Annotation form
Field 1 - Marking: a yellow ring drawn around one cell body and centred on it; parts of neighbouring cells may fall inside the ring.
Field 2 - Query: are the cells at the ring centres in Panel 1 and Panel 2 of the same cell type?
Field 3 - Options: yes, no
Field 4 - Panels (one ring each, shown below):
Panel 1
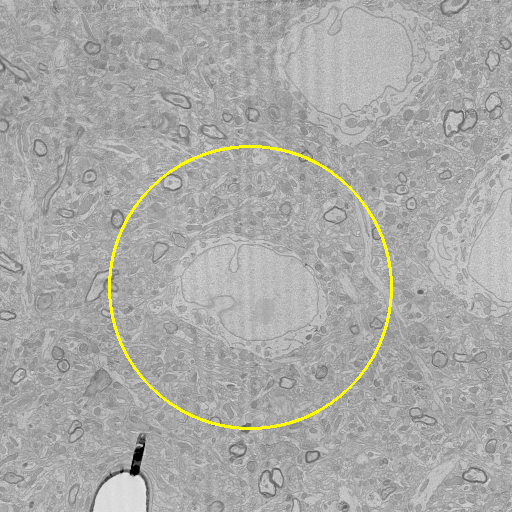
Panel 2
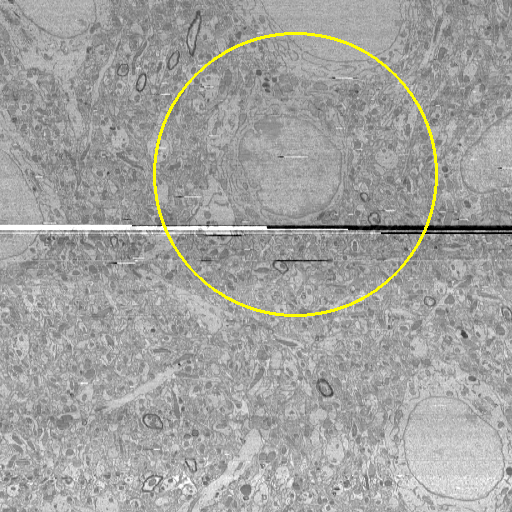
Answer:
no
